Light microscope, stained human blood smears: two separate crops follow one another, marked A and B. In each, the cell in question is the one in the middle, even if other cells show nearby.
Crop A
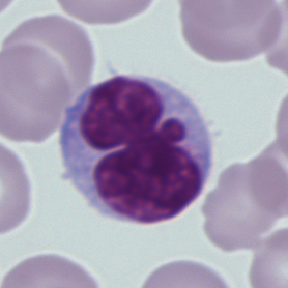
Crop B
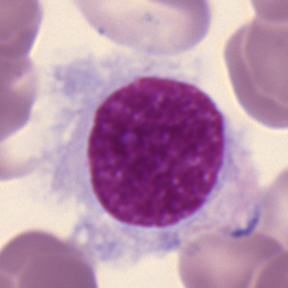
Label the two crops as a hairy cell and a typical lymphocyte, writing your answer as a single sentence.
Crop A is a typical lymphocyte and crop B is a hairy cell.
